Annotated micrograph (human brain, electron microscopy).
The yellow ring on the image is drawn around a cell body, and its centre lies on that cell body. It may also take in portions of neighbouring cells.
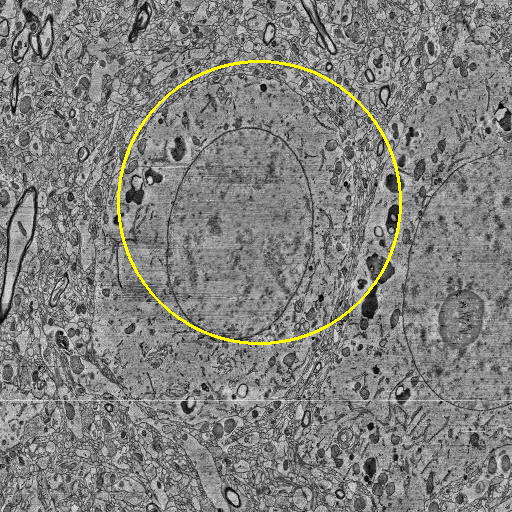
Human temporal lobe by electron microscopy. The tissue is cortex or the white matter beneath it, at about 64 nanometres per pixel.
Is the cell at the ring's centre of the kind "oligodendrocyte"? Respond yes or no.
No, it is of another kind.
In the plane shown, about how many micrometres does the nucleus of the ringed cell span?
In this plane the nucleus is about 14 micrometres by 9.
